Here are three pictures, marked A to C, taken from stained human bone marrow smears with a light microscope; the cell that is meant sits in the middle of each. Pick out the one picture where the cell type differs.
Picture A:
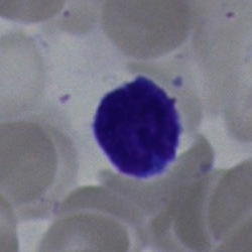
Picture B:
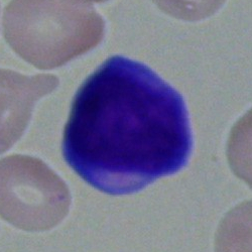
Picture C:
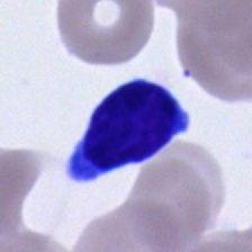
B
